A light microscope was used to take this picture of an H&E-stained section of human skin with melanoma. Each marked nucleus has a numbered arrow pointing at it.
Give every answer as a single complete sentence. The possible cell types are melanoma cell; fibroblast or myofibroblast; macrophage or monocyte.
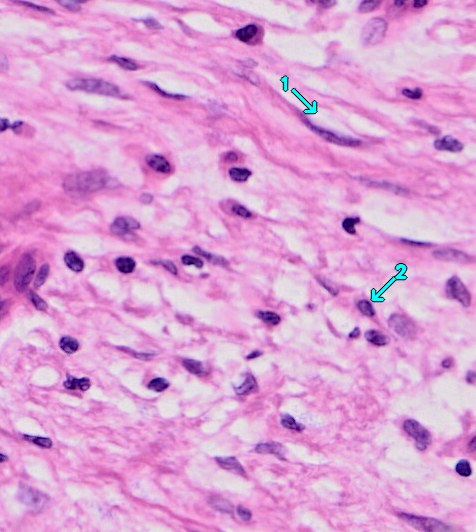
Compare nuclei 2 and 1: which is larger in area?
Number 1 is larger; its area is about 2.5 times that of number 2.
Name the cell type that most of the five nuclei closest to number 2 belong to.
Of the five nuclei nearest to number 2, most belong to fibroblasts or myofibroblasts.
